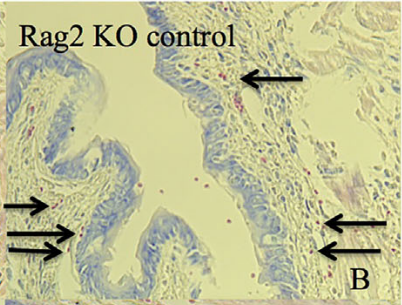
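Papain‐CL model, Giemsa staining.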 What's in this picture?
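A folded lining of blue-nucleated epithelial cells surrounds a clear lumen, with pale loose connective tissue on either side. Scattered in this tissue, close to the epithelium, are small cells with bright pink-red cytoplasm. These are infiltrating eosinophils.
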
